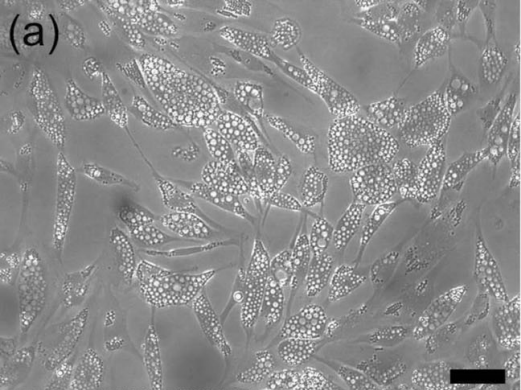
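A dense culture of adipocytes lying among flat spindle-shaped cells. Many cells are oval to elongated and their cytoplasm is packed with round, bright, refractile droplets of varying size, some small and numerous, others larger, so that the cell body looks bubbly. Between and beside these droplet-filled cells lie flat, pale, elongated or polygonal cells with little visible content, forming a nearly continuous layer across the dish.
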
